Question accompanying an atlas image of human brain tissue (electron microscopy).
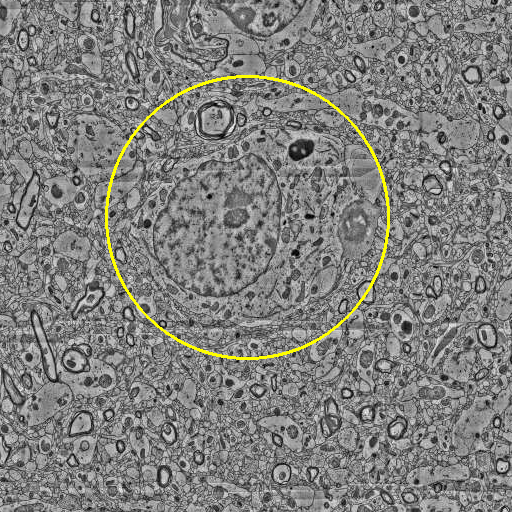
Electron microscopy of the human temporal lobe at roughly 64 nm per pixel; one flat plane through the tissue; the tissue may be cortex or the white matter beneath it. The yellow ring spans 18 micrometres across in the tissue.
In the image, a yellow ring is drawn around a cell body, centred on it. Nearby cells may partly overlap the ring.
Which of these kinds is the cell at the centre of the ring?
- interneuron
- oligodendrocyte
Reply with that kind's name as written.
interneuron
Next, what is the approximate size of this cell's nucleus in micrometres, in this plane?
Roughly 10 by 8 micrometres is the size of the nucleus in this plane.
